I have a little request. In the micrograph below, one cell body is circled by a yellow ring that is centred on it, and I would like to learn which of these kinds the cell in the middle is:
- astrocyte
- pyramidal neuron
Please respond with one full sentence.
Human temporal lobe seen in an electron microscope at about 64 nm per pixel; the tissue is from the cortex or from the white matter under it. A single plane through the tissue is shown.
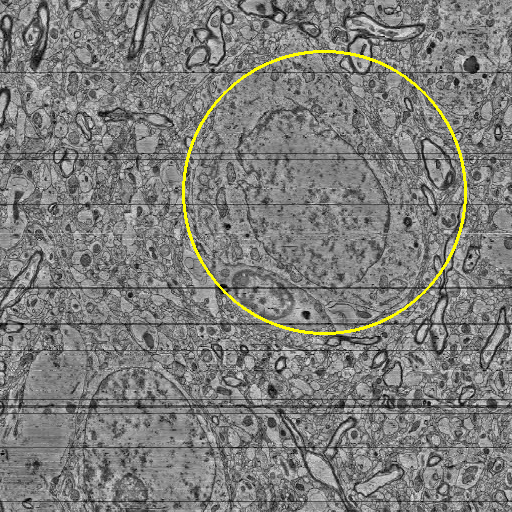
The cell sitting in the middle of the yellow ring in the micrograph is a pyramidal neuron.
